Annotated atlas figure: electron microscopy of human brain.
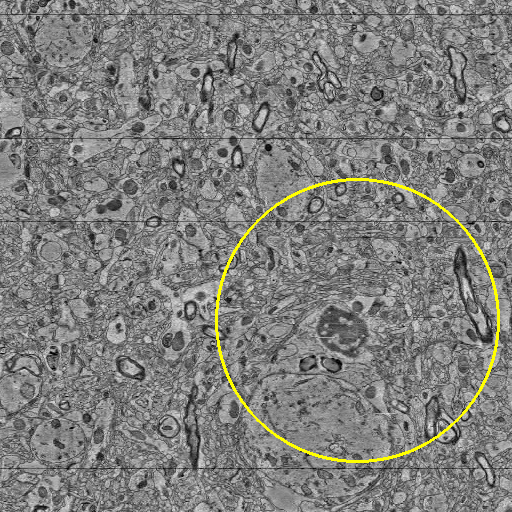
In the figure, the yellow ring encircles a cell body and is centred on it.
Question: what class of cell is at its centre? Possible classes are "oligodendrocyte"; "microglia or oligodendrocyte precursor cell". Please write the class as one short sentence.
The yellow ring is drawn around a microglial cell or oligodendrocyte precursor cell.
